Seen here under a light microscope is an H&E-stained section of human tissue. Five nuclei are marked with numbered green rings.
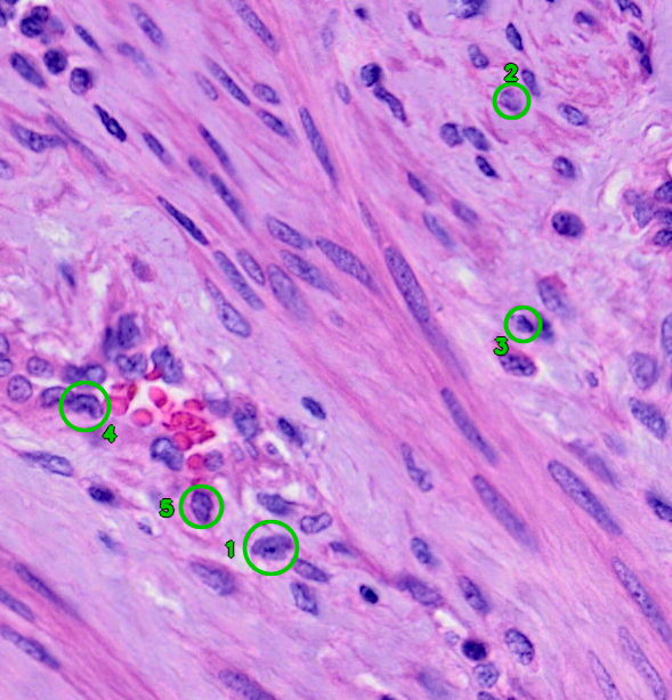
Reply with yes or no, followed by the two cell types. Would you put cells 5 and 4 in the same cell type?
Yes, both cells, 5 and 4, are endothelial cells.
